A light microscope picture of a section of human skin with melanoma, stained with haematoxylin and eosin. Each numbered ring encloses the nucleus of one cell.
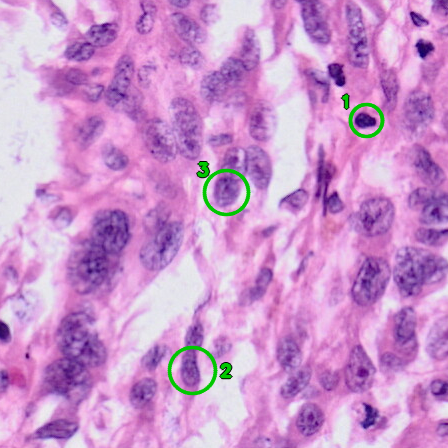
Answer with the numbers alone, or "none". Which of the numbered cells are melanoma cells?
2, 3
